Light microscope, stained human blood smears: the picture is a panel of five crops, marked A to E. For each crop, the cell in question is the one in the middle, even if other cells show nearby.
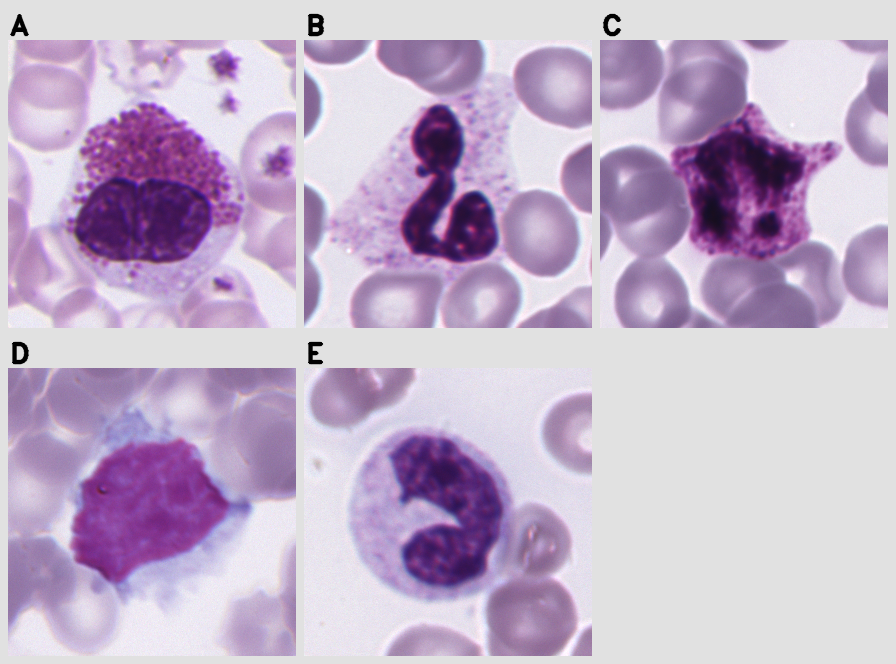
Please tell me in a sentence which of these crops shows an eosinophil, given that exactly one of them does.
Among these crops, crop A holds an eosinophil.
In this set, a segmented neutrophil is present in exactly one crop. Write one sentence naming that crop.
Of the crops shown, crop B depicts a segmented neutrophil.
